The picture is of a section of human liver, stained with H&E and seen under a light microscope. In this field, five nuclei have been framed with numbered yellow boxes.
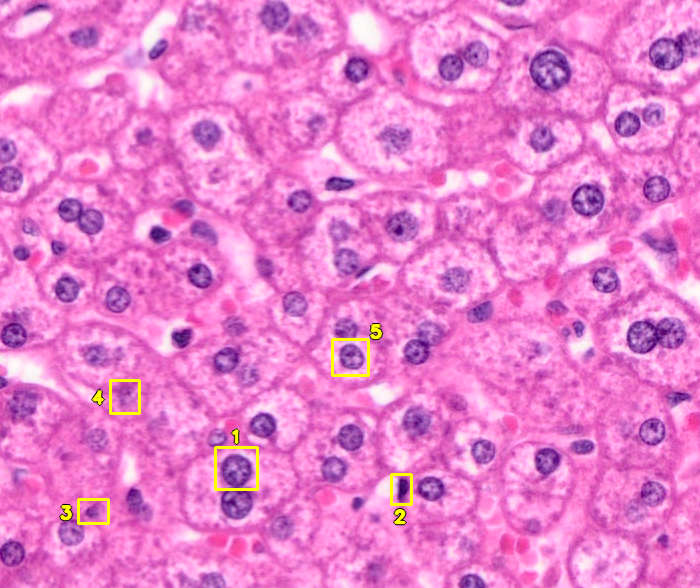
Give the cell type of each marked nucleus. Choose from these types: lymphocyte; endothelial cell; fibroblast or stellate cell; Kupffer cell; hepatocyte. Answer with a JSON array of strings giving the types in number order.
["hepatocyte", "endothelial cell", "fibroblast or stellate cell", "hepatocyte", "hepatocyte"]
